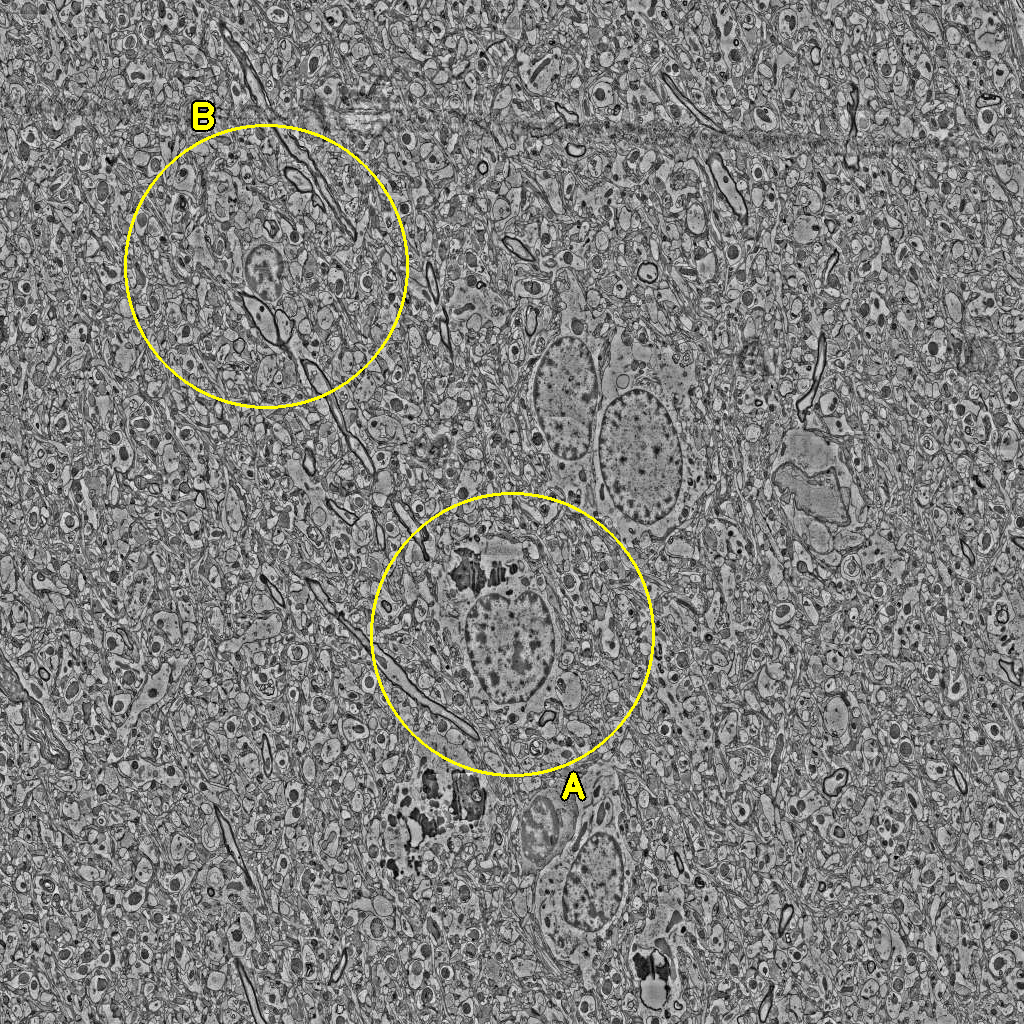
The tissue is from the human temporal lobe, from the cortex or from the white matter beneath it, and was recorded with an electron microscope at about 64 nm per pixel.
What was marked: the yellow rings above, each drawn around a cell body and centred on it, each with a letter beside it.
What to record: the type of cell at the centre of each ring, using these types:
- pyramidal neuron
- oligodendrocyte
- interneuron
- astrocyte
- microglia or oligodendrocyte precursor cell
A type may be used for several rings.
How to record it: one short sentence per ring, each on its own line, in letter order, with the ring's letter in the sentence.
Centred in ring A is an astrocyte.
Centred in ring B is a microglial cell or oligodendrocyte precursor cell.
